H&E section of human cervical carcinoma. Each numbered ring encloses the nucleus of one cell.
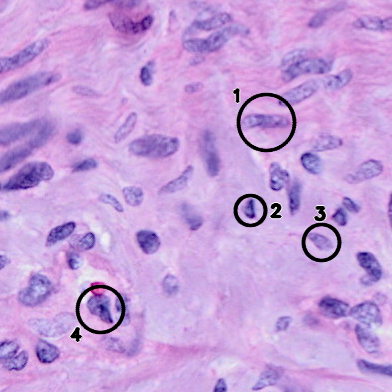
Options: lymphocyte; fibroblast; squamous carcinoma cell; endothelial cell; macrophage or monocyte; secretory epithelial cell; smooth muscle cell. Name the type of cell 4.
endothelial cell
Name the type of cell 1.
smooth muscle cell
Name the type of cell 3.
fibroblast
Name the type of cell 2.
fibroblast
